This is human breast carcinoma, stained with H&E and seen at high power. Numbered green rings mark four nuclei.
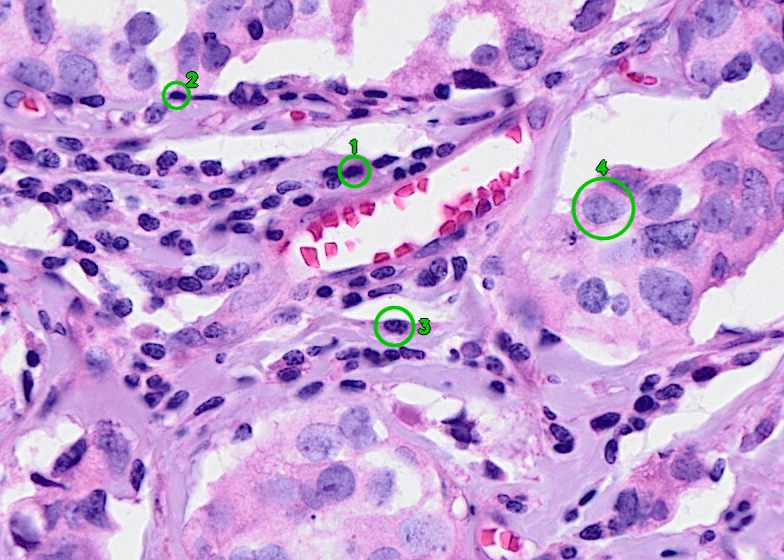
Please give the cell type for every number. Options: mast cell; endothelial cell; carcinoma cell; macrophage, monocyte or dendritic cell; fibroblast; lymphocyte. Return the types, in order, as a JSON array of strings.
["lymphocyte", "lymphocyte", "lymphocyte", "carcinoma cell"]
